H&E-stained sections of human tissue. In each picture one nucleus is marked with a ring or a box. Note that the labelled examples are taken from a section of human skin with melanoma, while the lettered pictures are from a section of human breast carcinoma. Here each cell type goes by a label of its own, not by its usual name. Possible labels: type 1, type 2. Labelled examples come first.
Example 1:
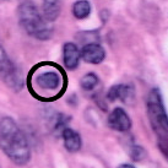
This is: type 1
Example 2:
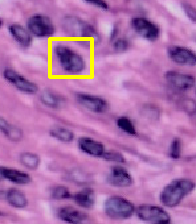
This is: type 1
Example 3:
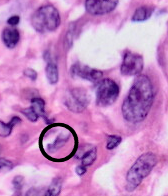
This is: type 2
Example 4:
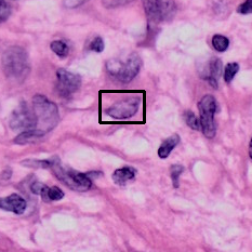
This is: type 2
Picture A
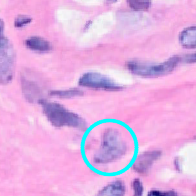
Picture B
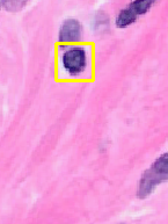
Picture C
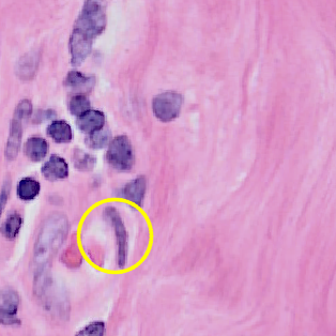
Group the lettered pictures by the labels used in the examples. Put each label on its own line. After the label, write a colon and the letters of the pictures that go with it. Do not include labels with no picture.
type 1: B
type 2: A, C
